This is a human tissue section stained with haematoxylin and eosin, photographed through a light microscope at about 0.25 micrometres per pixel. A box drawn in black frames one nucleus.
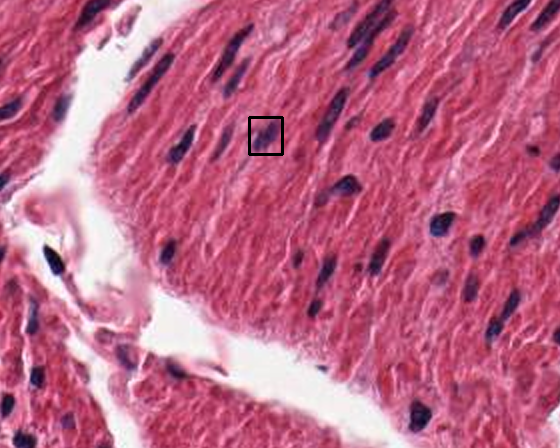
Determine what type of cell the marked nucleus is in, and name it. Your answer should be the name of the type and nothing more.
smooth muscle cell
